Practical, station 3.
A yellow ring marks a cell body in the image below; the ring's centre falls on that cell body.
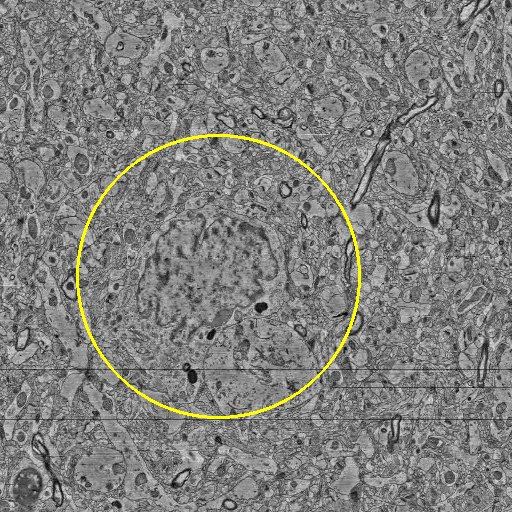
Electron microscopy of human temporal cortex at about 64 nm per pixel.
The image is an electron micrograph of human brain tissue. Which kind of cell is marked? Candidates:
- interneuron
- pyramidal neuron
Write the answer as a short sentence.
The marked cell body is that of an interneuron.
